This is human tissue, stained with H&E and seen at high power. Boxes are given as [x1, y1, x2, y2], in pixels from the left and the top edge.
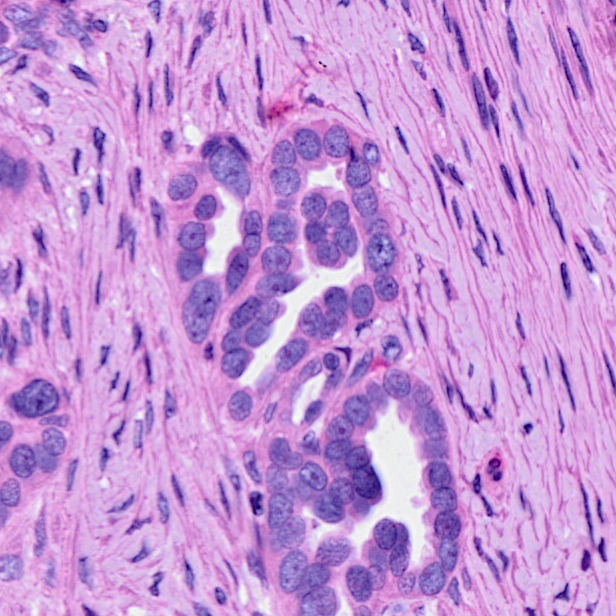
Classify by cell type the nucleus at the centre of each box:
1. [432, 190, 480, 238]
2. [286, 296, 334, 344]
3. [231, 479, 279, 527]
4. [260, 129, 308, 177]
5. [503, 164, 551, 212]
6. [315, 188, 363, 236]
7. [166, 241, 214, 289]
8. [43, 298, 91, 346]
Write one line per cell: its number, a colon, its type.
1: fibroblast
2: carcinoma cell
3: lymphocyte
4: carcinoma cell
5: fibroblast
6: carcinoma cell
7: carcinoma cell
8: fibroblast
